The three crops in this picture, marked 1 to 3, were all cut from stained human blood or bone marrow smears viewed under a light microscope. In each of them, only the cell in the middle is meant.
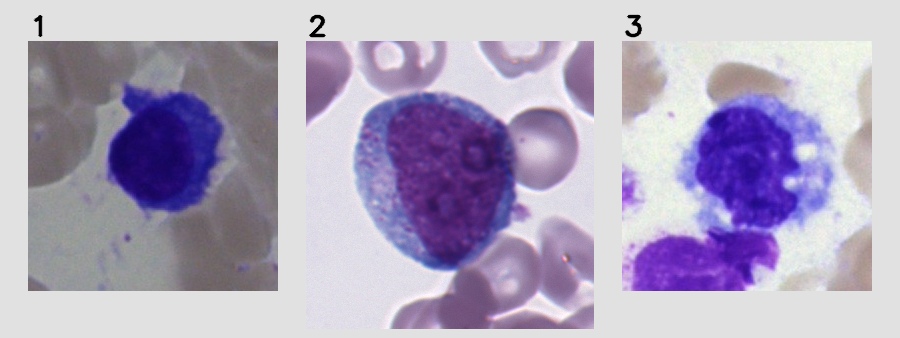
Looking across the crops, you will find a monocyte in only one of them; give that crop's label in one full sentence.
Crop 3 represents a monocyte, while the other crops do not.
